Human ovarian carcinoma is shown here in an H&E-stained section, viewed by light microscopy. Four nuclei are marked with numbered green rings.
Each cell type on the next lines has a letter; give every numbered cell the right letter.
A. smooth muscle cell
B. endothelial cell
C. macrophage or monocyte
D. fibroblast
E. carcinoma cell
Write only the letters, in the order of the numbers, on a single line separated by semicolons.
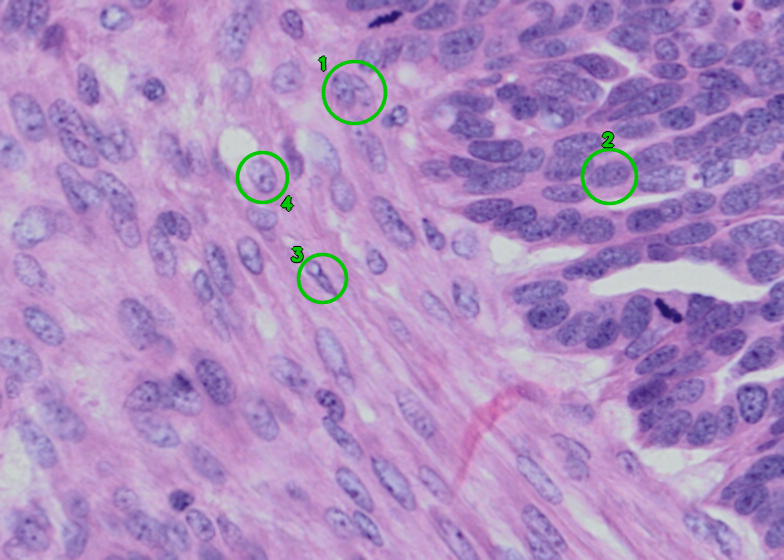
D; E; D; D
